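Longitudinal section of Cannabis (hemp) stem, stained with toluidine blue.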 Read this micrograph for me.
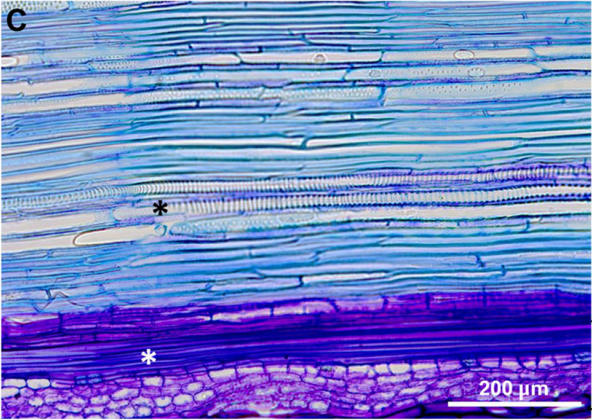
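The upper, larger part is a light blue woody core of long cells lying parallel to each other. Among them run wider tubes whose walls carry ring-like, helical or pitted thickenings, so these are xylem vessels, with narrower elongated cells between them. Below lies a band of very long, slender cells. Further toward the surface are small, rounded, pink-purple parenchyma cells with pale interiors.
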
